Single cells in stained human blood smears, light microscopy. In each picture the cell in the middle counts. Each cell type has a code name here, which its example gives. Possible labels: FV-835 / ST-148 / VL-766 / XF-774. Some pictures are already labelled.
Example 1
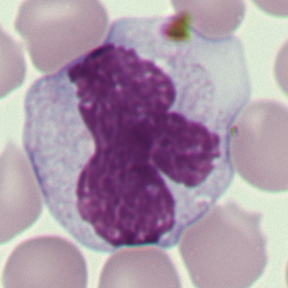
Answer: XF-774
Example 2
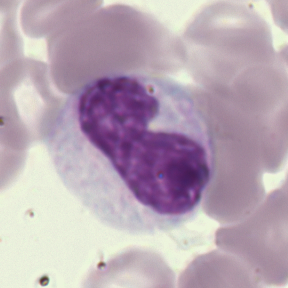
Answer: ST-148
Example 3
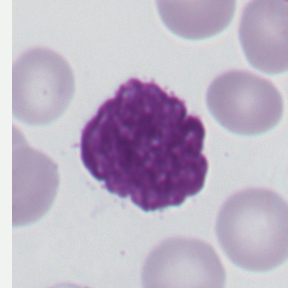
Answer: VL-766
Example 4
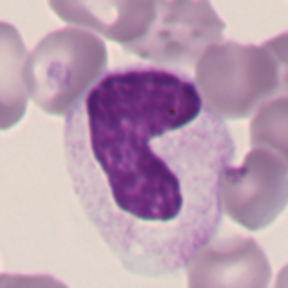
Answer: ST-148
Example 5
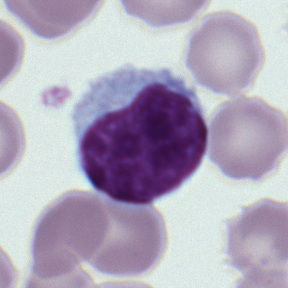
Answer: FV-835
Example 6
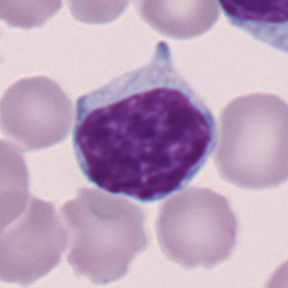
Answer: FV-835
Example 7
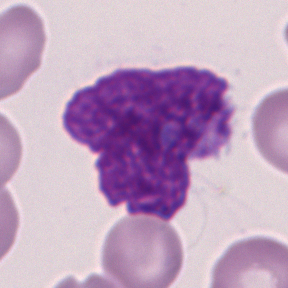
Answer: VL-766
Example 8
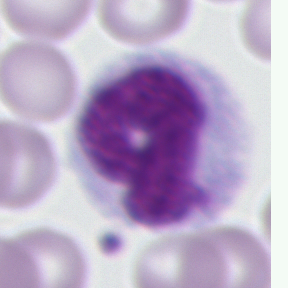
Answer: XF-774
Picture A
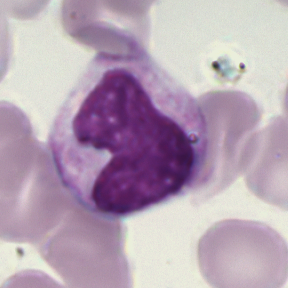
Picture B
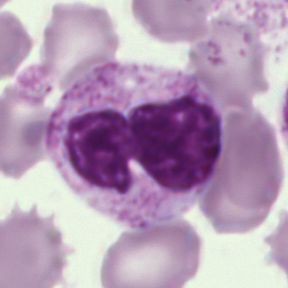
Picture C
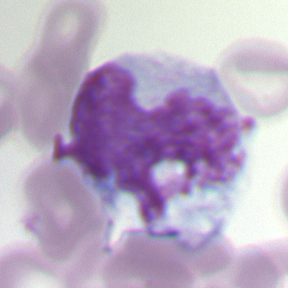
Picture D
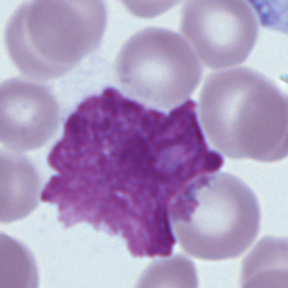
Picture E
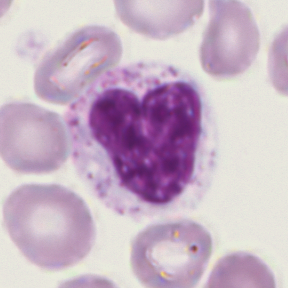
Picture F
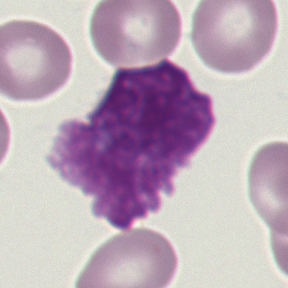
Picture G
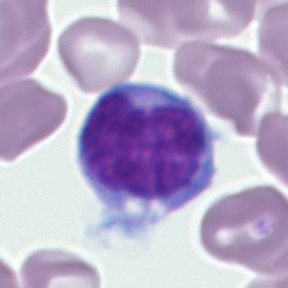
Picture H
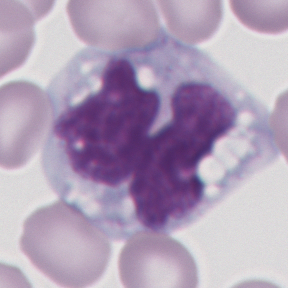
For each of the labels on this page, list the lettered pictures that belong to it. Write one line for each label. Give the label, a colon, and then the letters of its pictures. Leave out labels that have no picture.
ST-148: A, B, E
VL-766: D, F
XF-774: C, G, H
